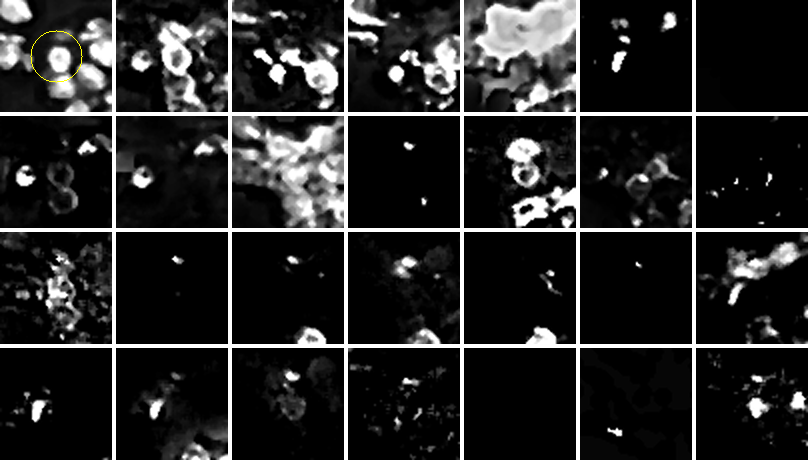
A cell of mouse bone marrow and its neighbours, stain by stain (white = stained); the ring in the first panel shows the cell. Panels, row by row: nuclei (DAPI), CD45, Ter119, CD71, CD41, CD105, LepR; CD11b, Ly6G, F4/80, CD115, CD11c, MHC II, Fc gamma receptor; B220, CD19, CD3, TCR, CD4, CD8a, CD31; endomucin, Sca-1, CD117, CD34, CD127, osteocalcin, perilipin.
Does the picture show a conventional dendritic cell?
Yes.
